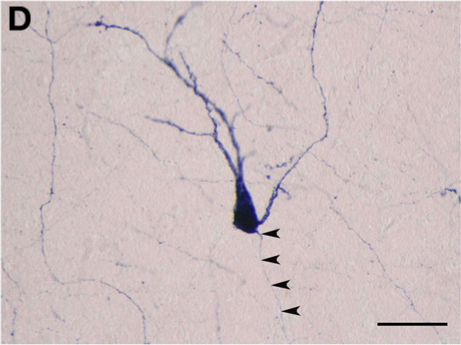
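A single large neuron stained dark blue stands against a pale background, with a pear-shaped cell body that tapers upward. Two closely set thick dendrites rise from its apex and branch into finer processes, while from its base a very thin axon initial segment runs downward.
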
